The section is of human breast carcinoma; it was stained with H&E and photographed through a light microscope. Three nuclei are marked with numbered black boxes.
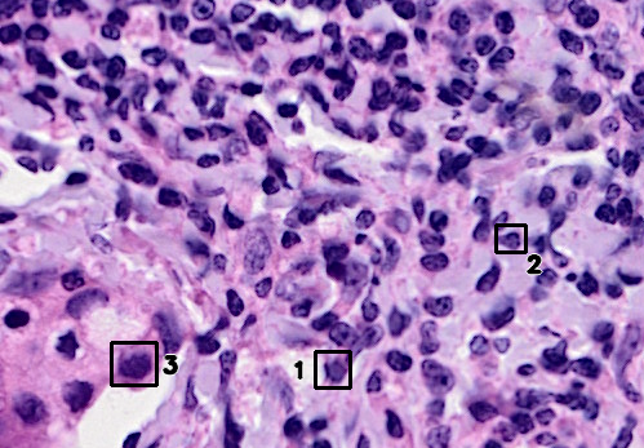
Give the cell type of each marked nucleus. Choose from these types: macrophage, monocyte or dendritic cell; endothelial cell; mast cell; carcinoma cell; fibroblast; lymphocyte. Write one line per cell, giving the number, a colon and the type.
1: lymphocyte
2: lymphocyte
3: carcinoma cell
